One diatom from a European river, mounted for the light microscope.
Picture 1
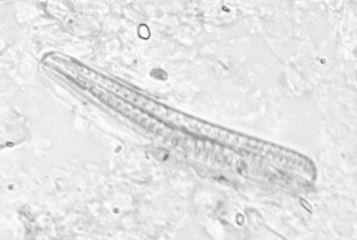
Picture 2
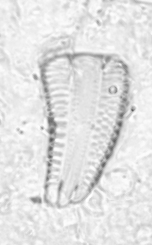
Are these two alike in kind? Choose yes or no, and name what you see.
Yes. Rhoicosphenia.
